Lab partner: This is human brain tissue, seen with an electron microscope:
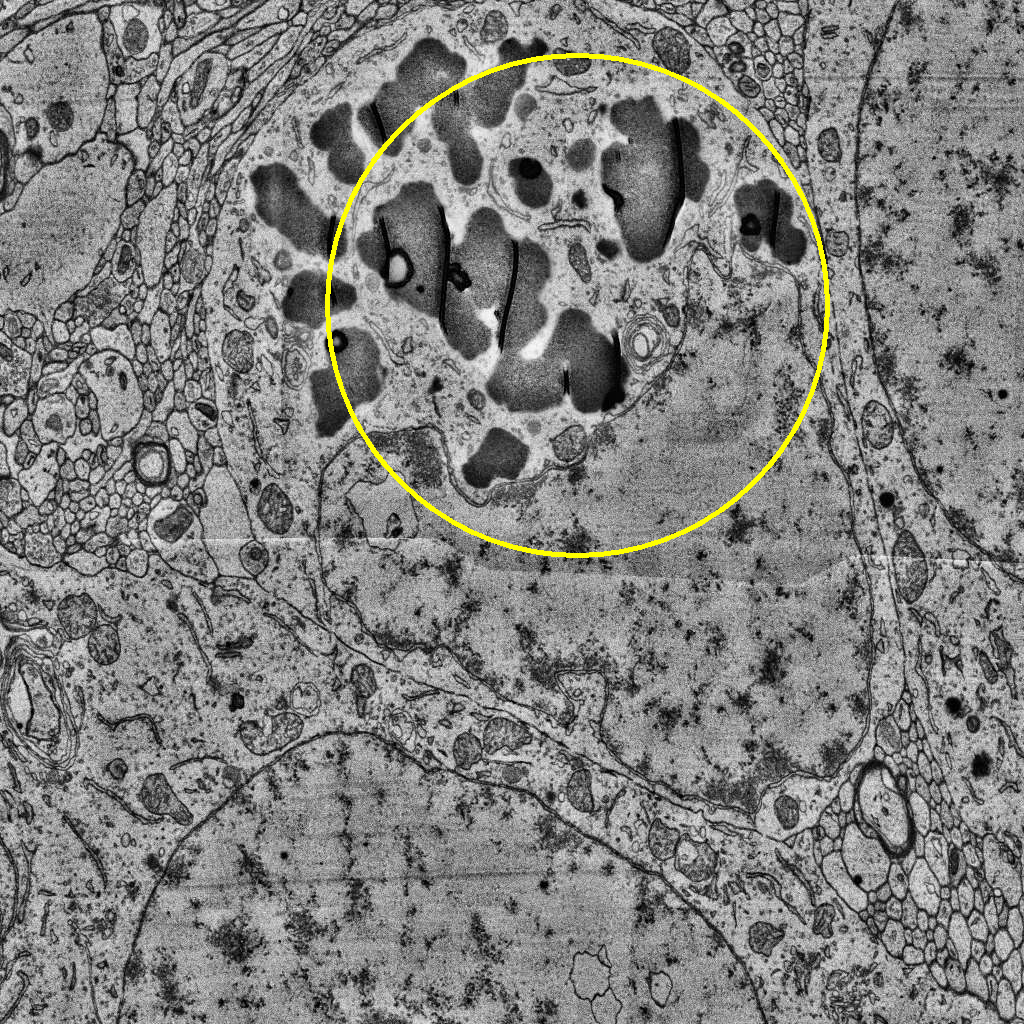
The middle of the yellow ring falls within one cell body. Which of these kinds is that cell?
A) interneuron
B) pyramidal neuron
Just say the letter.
A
